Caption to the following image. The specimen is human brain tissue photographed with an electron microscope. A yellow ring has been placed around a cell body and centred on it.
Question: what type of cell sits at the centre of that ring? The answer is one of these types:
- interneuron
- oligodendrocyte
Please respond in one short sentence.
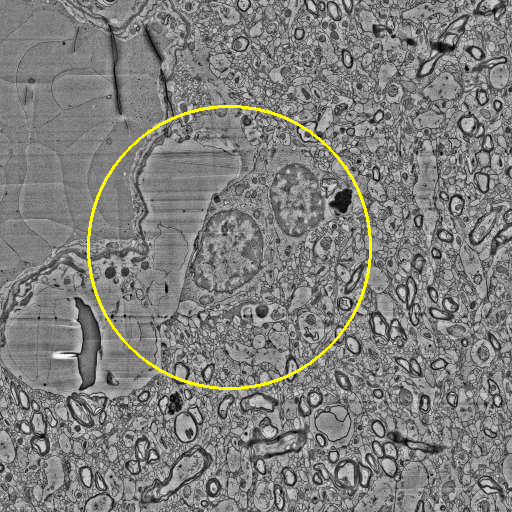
The ring surrounds the cell body of an oligodendrocyte.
